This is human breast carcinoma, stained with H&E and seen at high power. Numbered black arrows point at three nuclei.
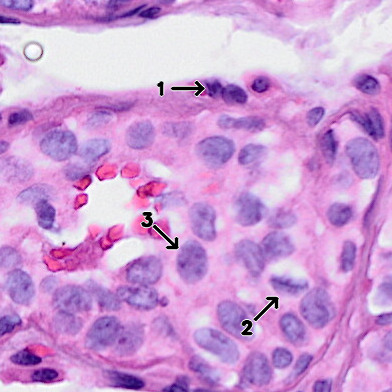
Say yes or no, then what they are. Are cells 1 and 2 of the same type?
No, classify cell 1 as an endothelial cell and cell 2 as a carcinoma cell.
